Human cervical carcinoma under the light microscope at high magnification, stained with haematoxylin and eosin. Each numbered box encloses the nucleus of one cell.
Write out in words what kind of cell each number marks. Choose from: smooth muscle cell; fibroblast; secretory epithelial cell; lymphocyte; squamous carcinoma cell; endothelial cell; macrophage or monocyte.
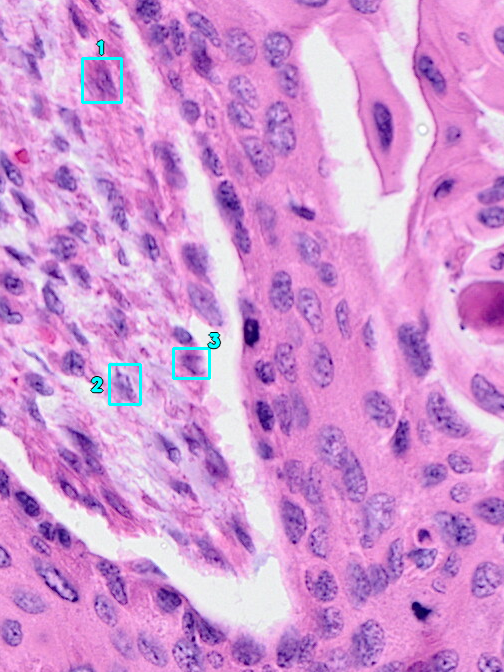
Cells 1 and 2 are fibroblasts. Cell 3 is a macrophage or monocyte.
